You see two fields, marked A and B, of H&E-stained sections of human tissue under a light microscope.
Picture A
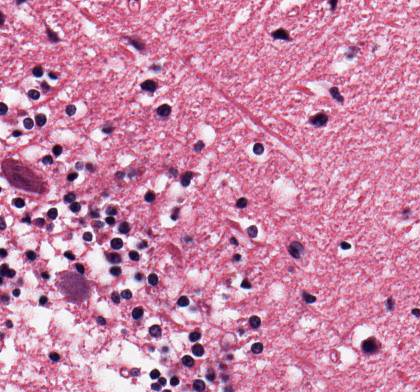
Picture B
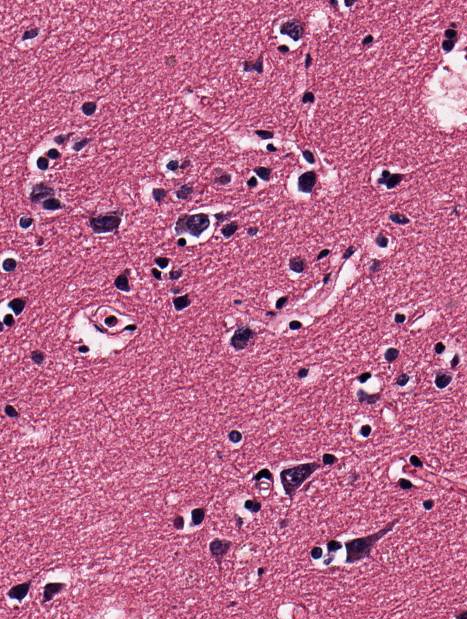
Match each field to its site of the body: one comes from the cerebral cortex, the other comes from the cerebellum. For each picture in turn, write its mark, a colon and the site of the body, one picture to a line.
A: cerebellum
B: cerebral cortex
